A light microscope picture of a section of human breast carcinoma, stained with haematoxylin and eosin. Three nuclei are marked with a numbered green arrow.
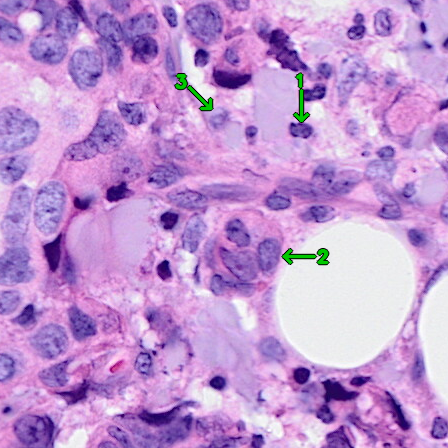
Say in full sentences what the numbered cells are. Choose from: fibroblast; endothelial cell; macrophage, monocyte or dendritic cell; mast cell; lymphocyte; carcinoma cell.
Cell 1 is a lymphocyte. Cell 2 is a carcinoma cell. Cell 3 is a macrophage, monocyte or dendritic cell.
